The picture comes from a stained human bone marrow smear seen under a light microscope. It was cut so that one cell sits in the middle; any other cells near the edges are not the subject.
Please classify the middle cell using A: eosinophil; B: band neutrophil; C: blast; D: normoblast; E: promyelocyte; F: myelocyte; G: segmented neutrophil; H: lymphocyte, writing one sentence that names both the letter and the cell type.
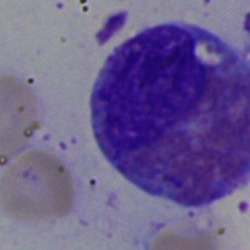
The right choice is option A: the cell in the middle is an eosinophil.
